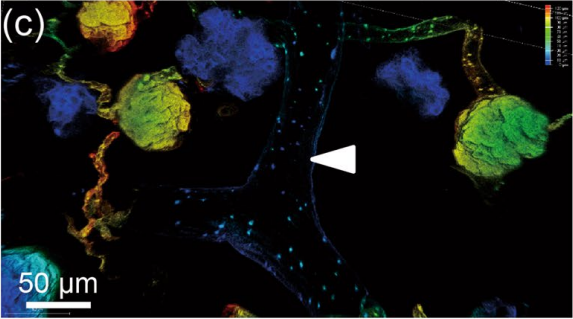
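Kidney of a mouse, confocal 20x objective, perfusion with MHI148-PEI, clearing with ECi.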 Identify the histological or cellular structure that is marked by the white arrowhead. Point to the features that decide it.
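Vessel. The arrowhead points to a thin outlined wall of a broad branching tube. The tube runs through the middle of the field and branches. Its walls are outlined as thin lines with small dots along the tube.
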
